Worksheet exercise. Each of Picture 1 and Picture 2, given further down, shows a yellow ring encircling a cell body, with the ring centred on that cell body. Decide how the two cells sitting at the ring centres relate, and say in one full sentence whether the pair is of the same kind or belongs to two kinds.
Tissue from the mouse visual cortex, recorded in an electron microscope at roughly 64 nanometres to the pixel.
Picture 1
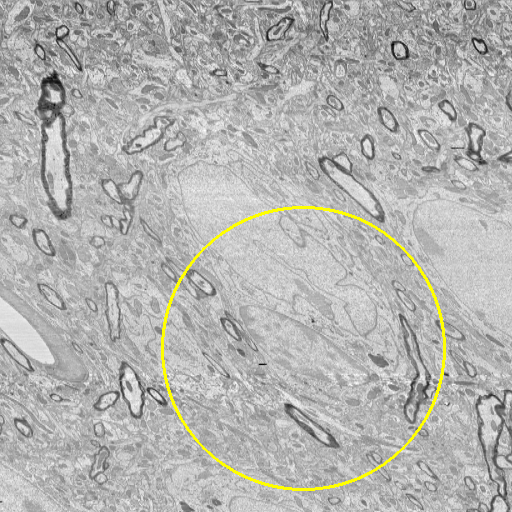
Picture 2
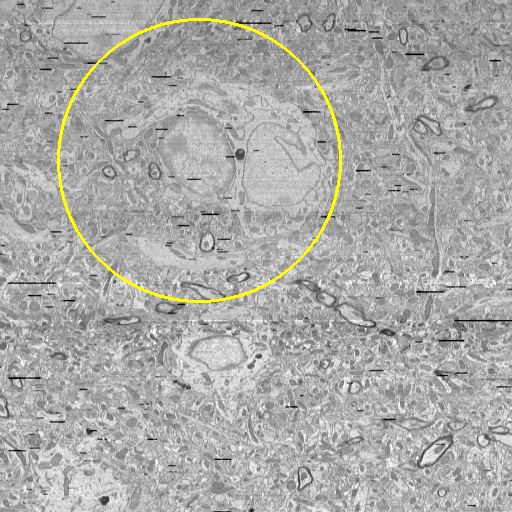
The cells at the ring centres in Picture 1 and Picture 2 are of the same kind.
